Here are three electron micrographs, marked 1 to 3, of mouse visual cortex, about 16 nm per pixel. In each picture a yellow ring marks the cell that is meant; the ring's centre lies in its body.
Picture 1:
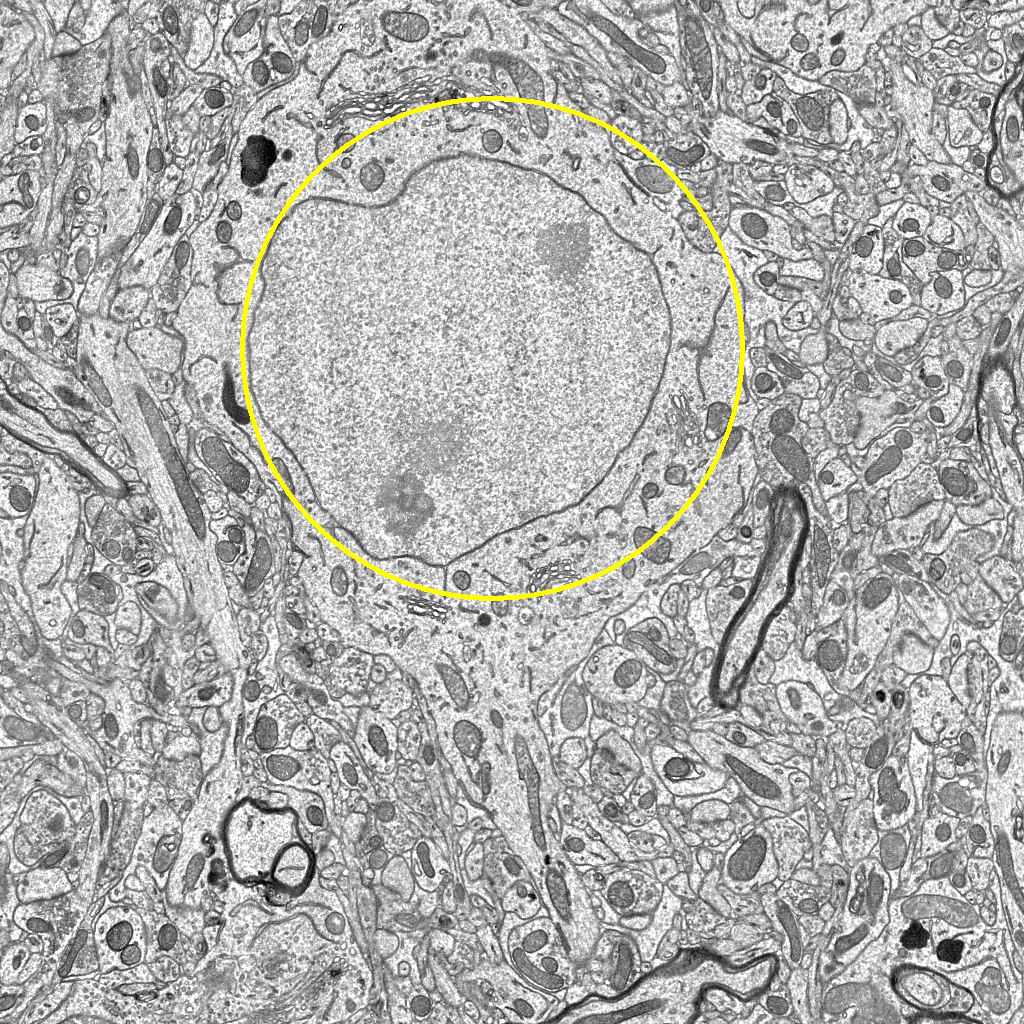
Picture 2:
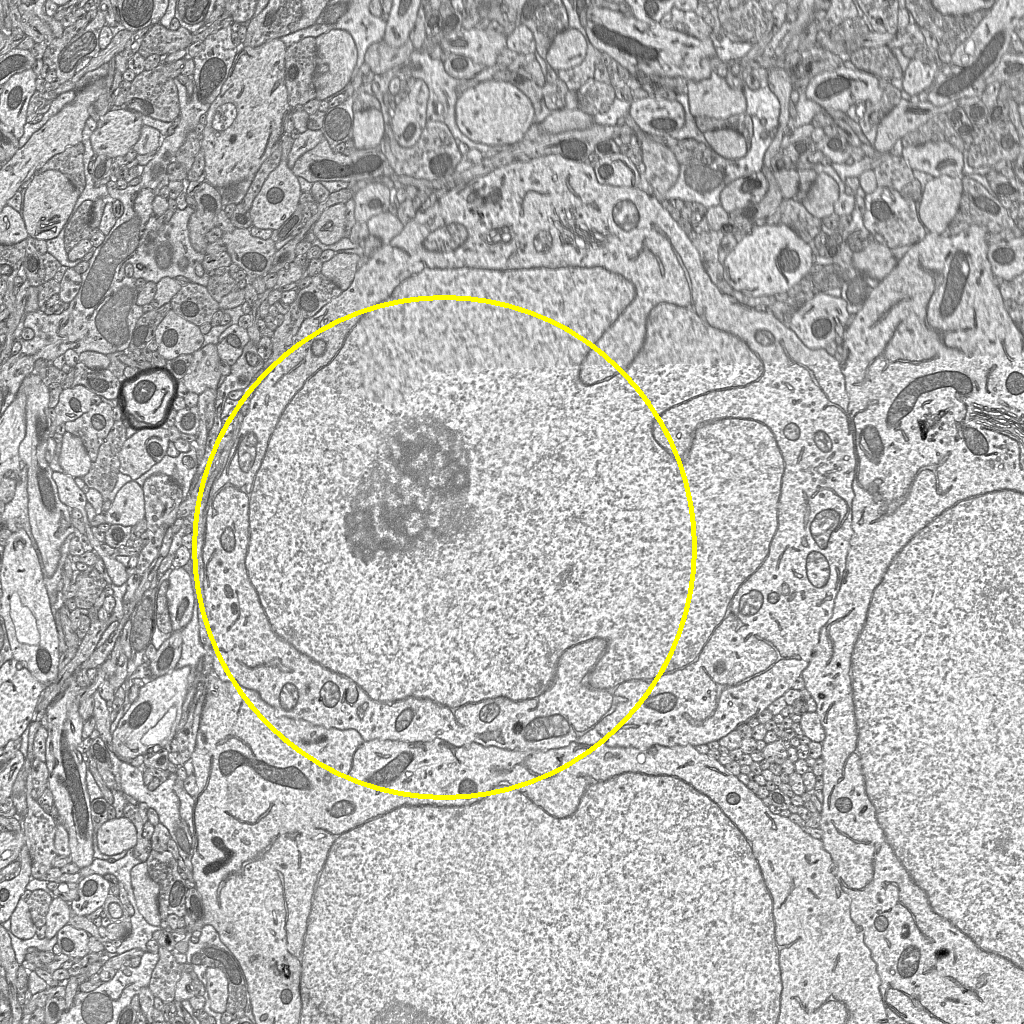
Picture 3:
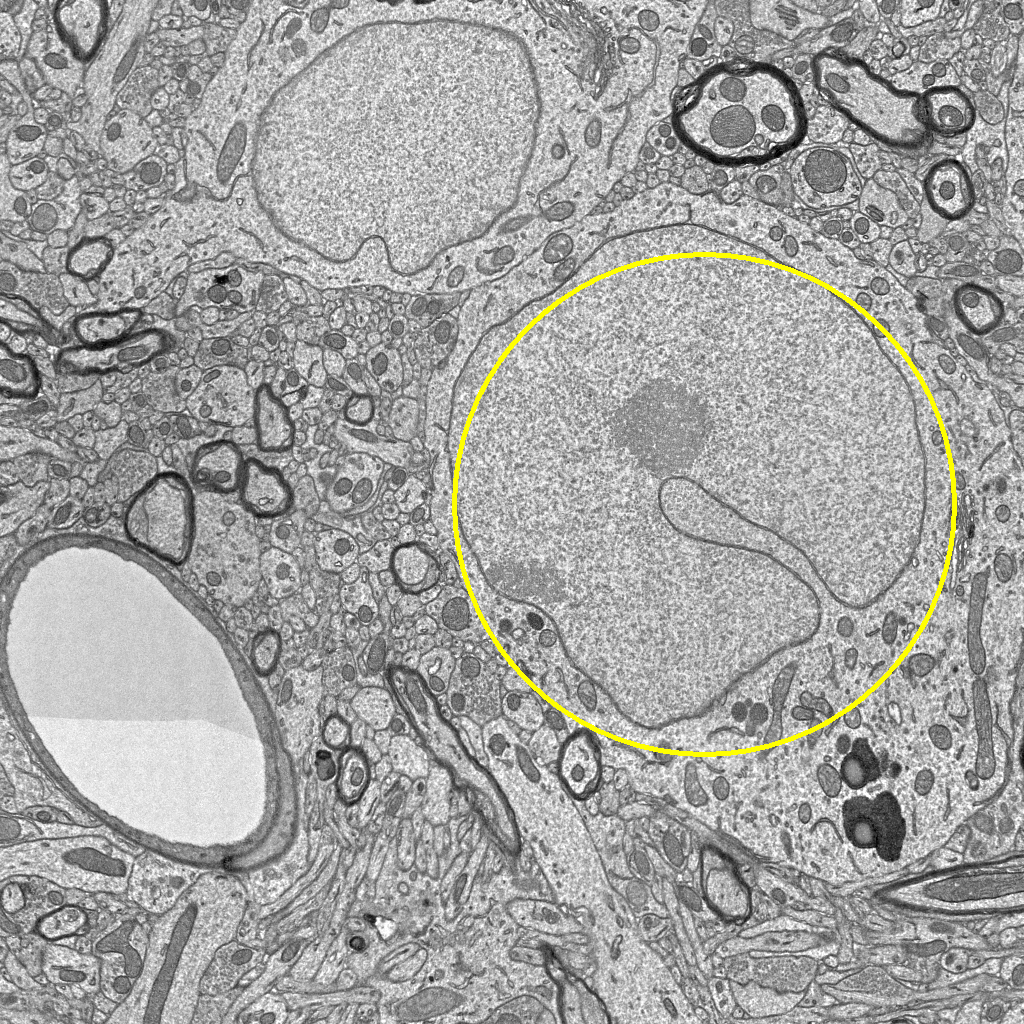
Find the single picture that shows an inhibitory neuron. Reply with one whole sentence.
The cell in picture 2 is the inhibitory neuron.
